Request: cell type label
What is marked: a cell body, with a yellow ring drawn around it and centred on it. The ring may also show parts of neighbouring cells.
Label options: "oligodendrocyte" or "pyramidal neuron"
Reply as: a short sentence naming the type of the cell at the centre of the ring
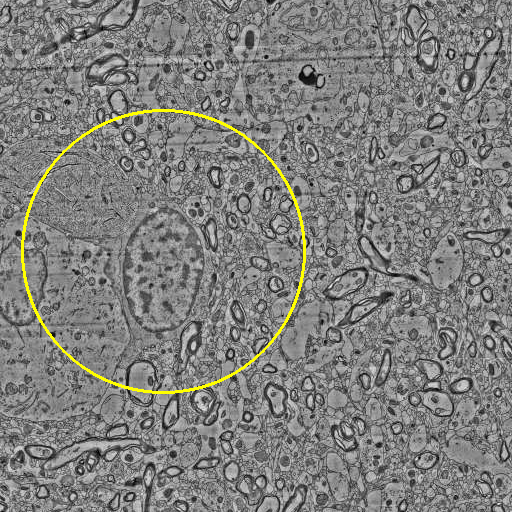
The marked cell body is that of an oligodendrocyte.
